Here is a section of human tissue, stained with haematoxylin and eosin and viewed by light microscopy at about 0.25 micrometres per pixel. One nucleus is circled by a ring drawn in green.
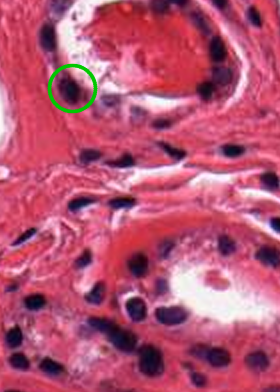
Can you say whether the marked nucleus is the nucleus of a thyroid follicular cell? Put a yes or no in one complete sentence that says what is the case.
Yes, the marked nucleus is a nucleus of a thyroid follicular cell.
